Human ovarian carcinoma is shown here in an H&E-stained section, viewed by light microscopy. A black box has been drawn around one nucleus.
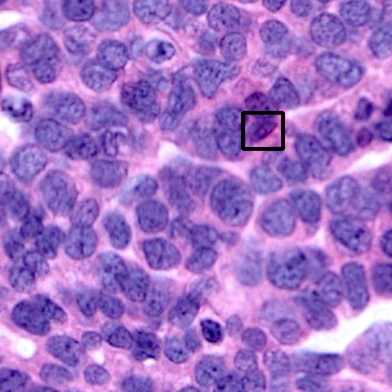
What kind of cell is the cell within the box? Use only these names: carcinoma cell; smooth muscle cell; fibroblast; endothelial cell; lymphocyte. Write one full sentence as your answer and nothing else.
As to its cell type, the cell within the box is a carcinoma cell.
